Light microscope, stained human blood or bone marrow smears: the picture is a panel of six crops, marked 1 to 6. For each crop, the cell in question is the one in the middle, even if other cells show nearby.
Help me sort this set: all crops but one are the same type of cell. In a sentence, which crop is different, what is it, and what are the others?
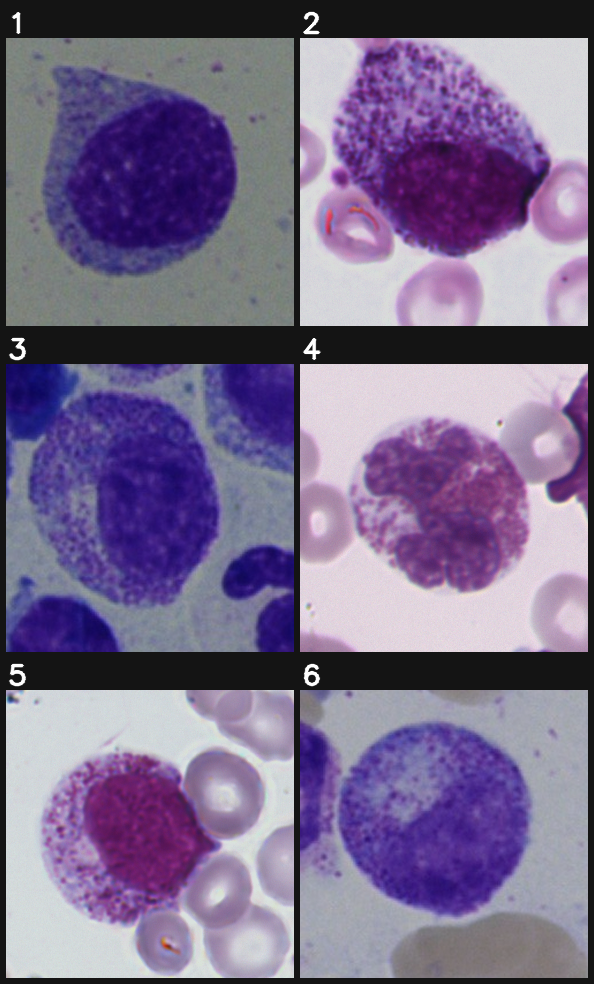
Only in crop 4 is there an eosinophil; all other crops show myelocytes.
